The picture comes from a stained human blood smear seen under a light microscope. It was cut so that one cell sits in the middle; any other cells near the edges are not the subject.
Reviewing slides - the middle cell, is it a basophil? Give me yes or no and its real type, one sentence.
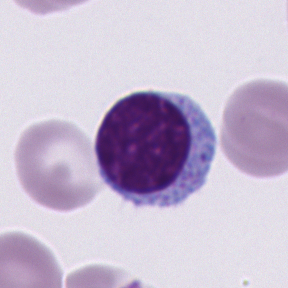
No, a typical lymphocyte, not a basophil, is what sits in the centre of the crop.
